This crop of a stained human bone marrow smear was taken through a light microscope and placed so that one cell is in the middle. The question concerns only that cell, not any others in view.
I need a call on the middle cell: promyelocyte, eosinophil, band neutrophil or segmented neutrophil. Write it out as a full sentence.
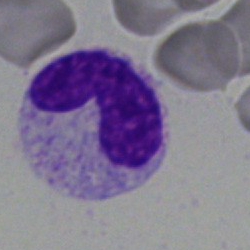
By type, the central cell of the crop is a band neutrophil.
